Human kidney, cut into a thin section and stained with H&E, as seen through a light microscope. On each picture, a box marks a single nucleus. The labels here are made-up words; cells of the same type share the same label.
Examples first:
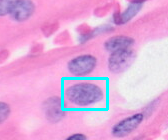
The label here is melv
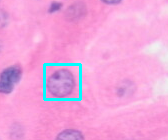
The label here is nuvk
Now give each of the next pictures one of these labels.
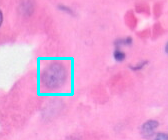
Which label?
nuvk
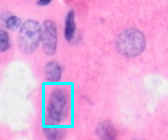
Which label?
melv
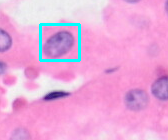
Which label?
nuvk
